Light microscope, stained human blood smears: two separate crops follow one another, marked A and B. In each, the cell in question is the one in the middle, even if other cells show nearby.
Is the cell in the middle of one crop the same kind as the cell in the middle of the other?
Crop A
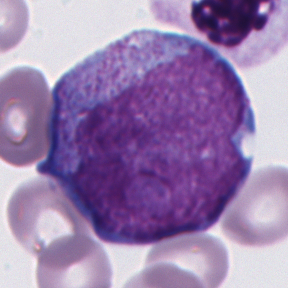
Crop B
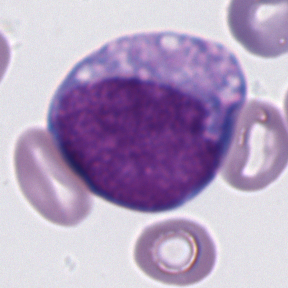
yes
